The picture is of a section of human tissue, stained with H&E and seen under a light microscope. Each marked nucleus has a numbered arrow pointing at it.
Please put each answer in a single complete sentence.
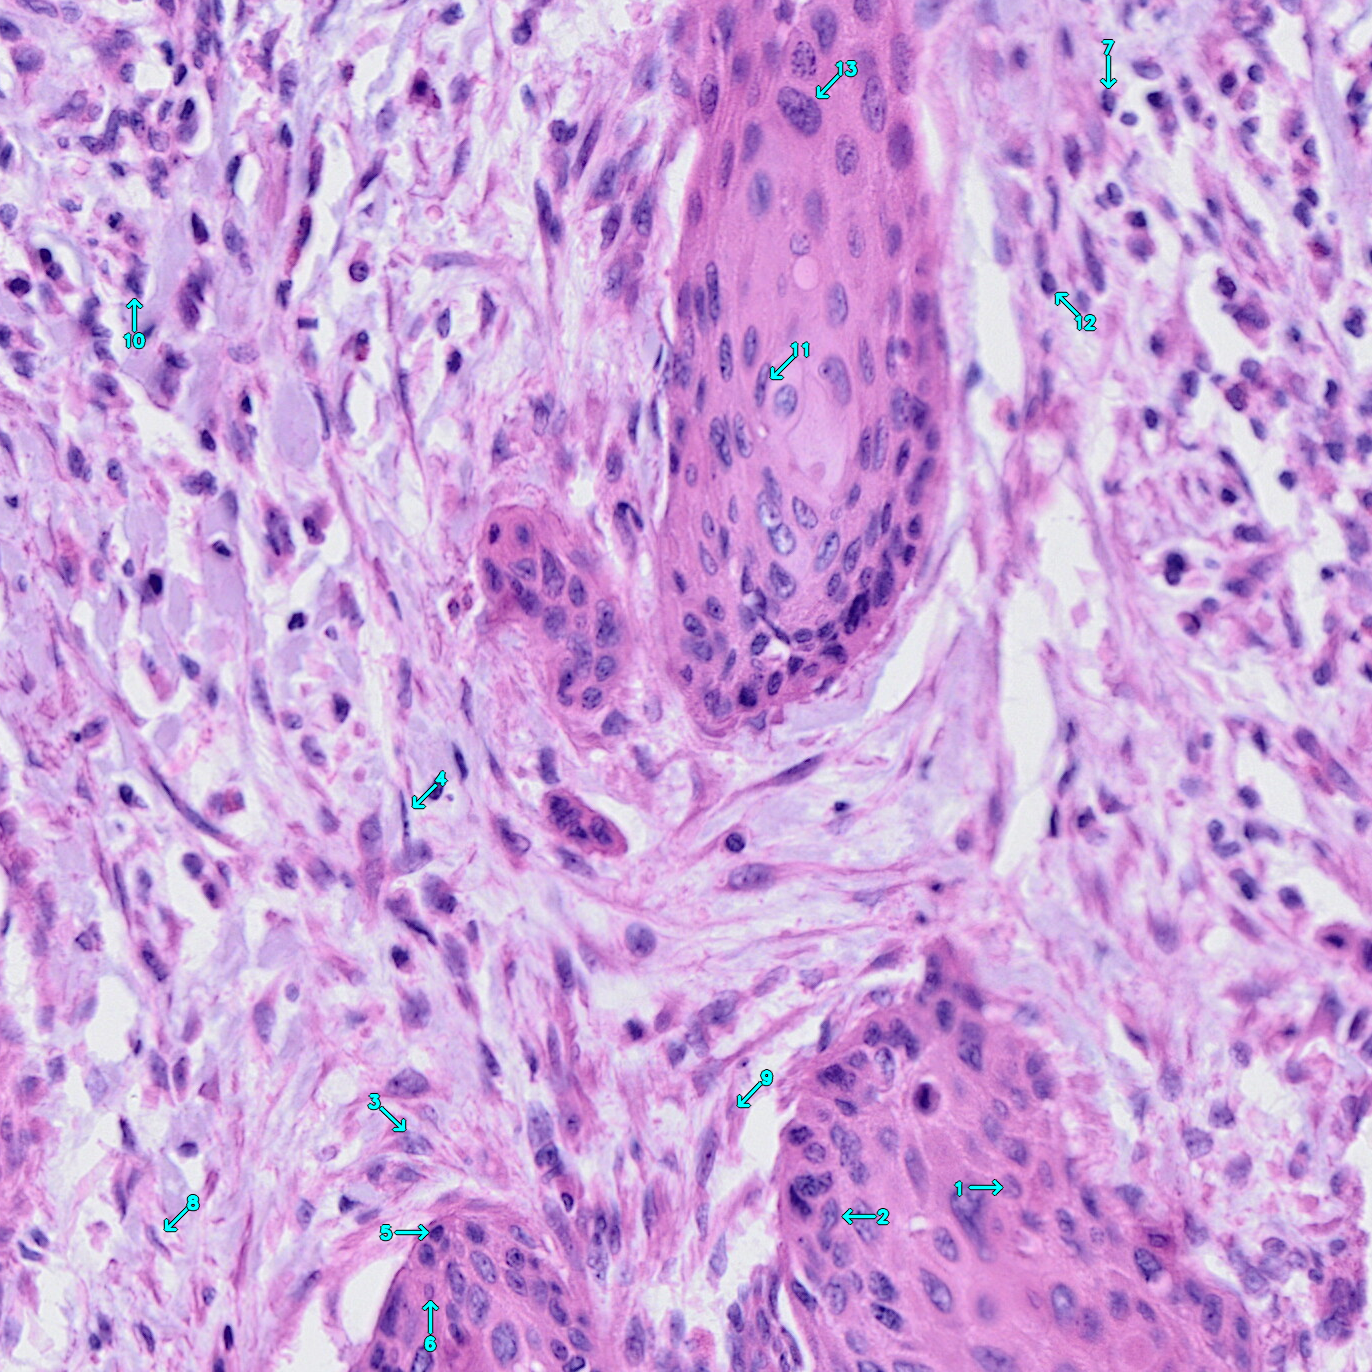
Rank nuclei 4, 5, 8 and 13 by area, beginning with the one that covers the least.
From smallest to largest, the order is 5, 8, 4, 13.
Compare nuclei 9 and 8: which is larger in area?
It is nucleus 8, which covers about 2 times the area of nucleus 9.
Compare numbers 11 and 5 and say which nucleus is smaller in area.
Nucleus 5 is the smaller one; nucleus 11 covers about 1.5 times its area.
